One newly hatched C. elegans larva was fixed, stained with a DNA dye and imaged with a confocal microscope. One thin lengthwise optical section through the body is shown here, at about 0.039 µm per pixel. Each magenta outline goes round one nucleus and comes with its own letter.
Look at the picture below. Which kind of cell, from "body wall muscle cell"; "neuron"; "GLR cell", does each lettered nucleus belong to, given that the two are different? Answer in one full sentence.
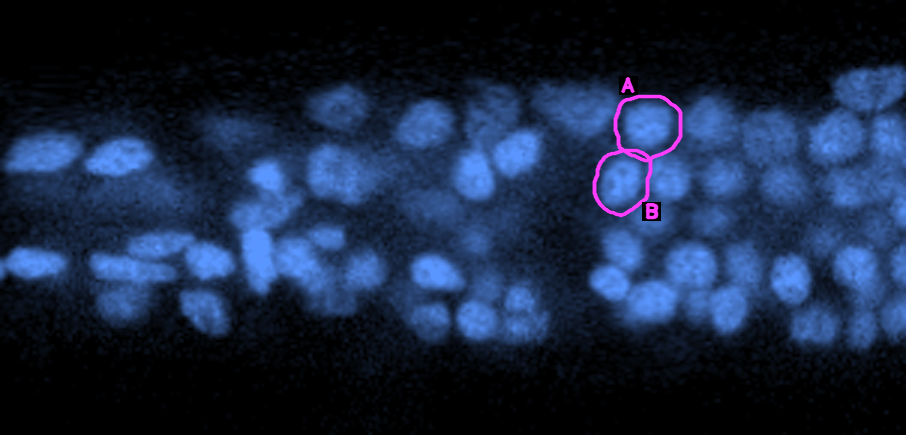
Nucleus A comes from a neuron and nucleus B from a GLR cell.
